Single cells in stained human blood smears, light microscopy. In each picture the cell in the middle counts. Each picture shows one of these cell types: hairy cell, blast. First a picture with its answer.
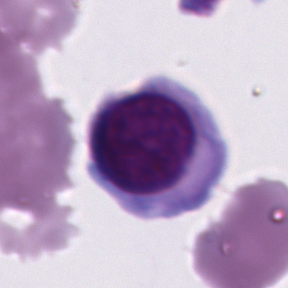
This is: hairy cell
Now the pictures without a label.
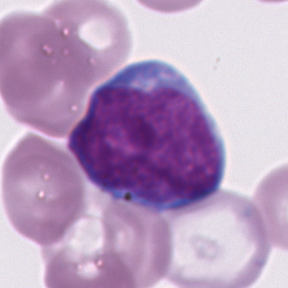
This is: blast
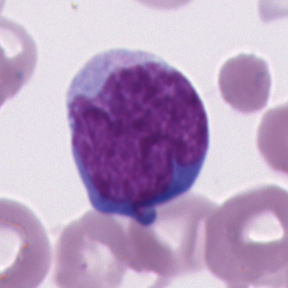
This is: blast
